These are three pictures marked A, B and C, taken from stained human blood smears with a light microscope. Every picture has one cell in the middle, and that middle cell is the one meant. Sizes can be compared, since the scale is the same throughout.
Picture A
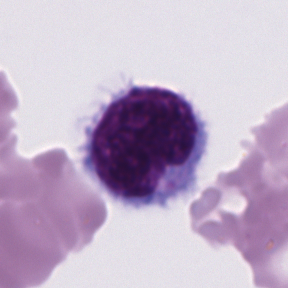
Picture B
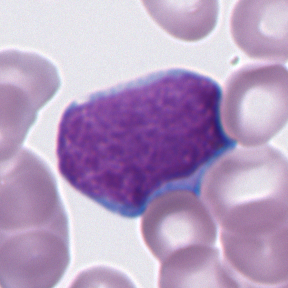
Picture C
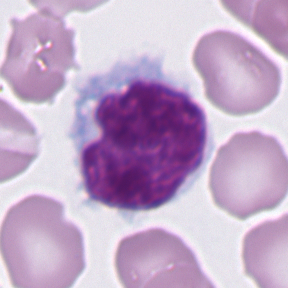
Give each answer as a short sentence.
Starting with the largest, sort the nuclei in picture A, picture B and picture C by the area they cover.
Going down, they run B, C, A.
